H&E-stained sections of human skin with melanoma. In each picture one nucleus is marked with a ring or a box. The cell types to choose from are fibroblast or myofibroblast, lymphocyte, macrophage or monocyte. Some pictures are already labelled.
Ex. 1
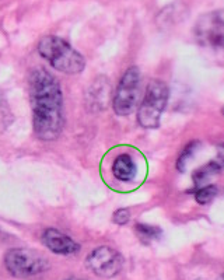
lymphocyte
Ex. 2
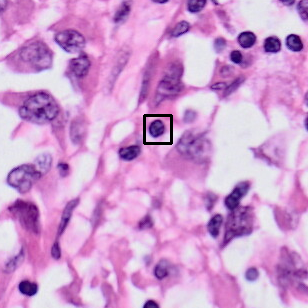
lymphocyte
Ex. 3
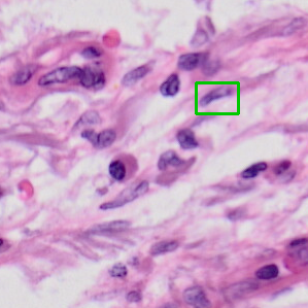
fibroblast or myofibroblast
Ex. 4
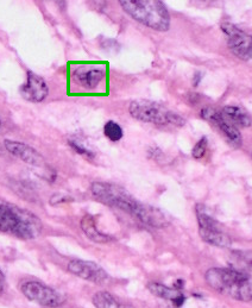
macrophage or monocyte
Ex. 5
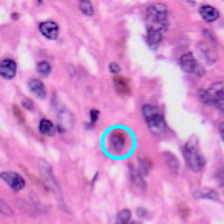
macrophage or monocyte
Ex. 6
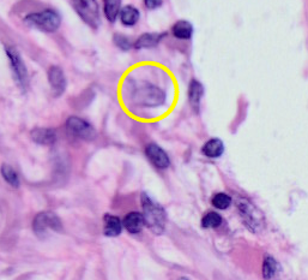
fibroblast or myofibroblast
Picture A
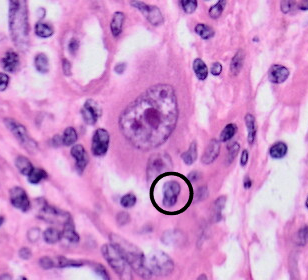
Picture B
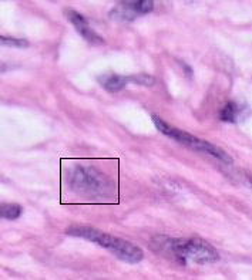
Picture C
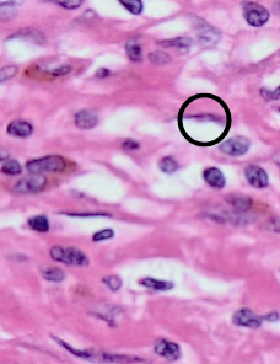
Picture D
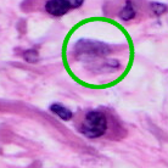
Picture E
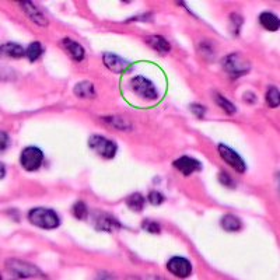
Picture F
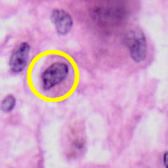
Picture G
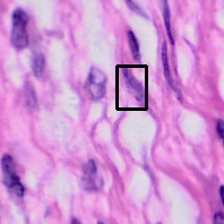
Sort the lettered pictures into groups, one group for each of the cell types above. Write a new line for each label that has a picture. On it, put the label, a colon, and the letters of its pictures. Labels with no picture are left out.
fibroblast or myofibroblast: B, C, D, G
lymphocyte: A, E
macrophage or monocyte: F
